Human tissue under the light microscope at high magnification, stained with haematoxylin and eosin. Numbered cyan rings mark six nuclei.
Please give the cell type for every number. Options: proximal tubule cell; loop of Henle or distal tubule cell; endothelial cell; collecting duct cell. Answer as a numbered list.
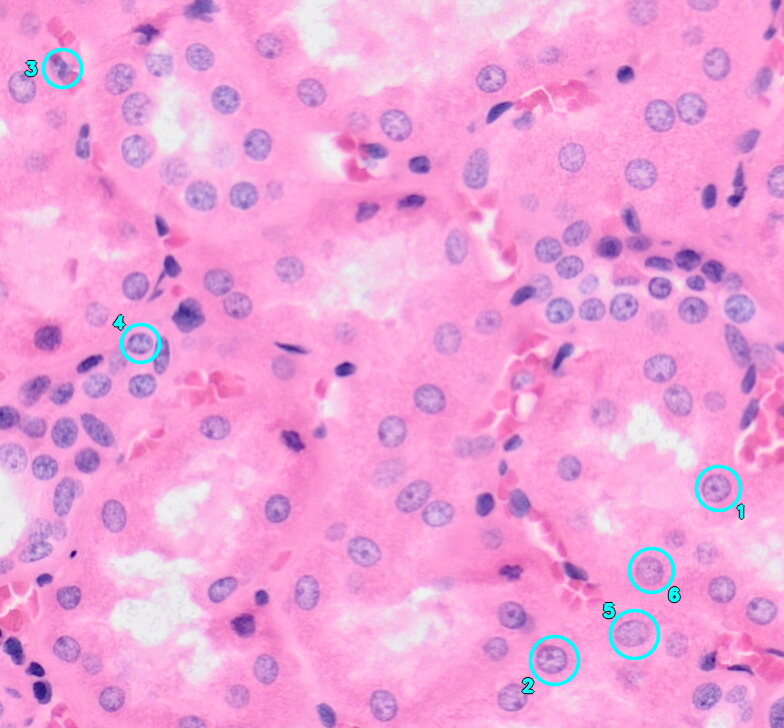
1. proximal tubule cell
2. proximal tubule cell
3. endothelial cell
4. collecting duct cell
5. proximal tubule cell
6. proximal tubule cell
